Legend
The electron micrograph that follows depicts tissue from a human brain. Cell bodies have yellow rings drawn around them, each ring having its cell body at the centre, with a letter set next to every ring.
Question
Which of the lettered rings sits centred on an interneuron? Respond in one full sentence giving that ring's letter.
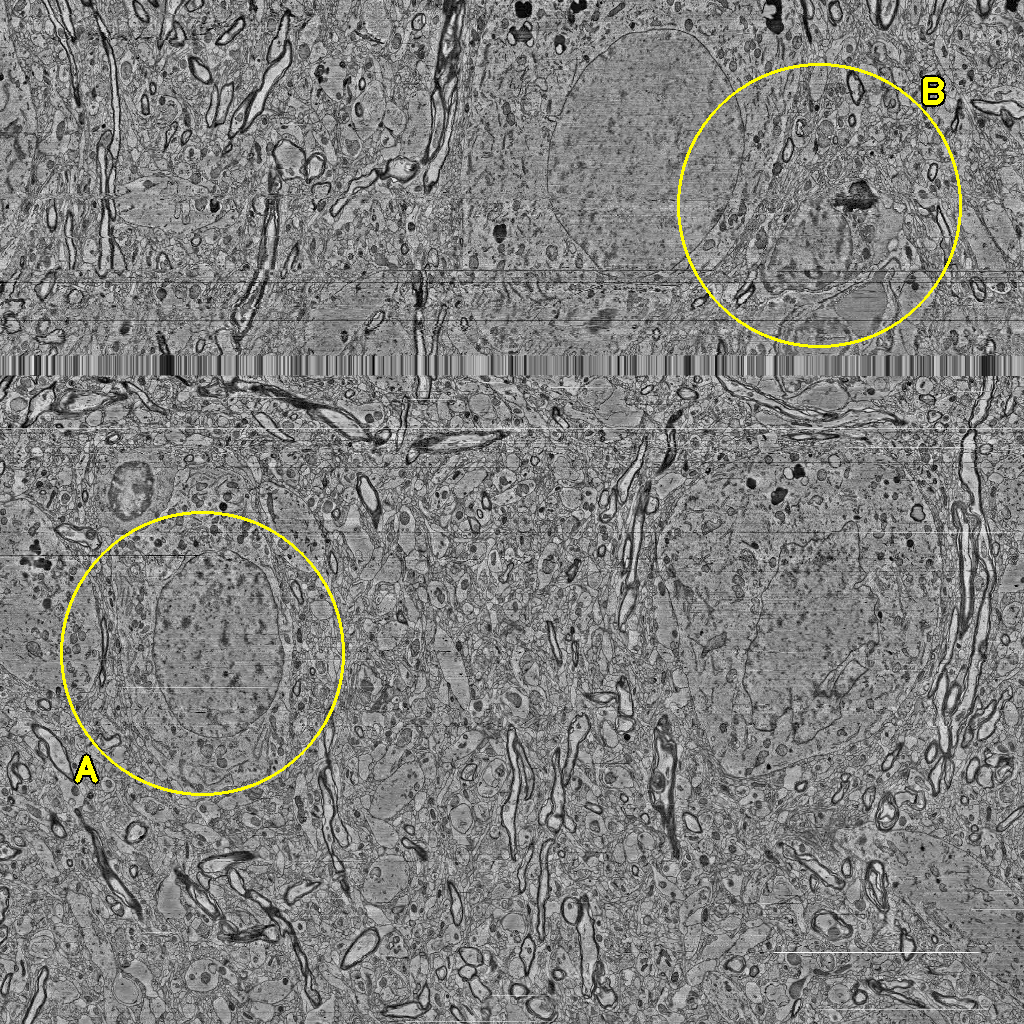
The letter A belongs to the ring centred on the cell asked about in the micrograph.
